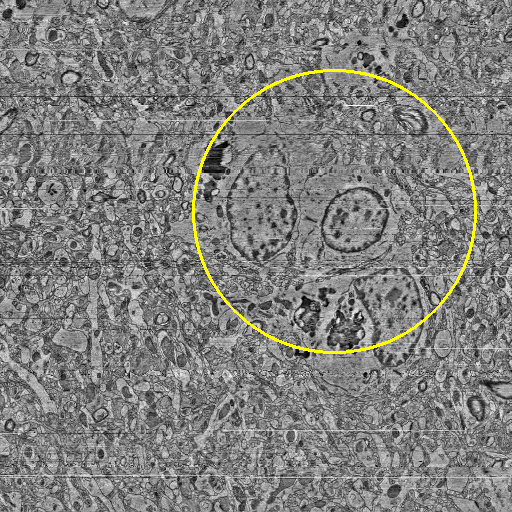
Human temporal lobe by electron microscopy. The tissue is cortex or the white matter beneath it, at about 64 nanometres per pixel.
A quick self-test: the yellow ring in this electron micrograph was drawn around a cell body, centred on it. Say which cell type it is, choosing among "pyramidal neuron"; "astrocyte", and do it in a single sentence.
The yellow-ringed cell is an astrocyte.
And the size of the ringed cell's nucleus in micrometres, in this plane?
About 5 by 4 micrometers, in this plane.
